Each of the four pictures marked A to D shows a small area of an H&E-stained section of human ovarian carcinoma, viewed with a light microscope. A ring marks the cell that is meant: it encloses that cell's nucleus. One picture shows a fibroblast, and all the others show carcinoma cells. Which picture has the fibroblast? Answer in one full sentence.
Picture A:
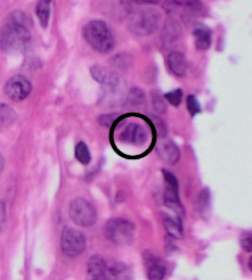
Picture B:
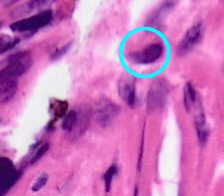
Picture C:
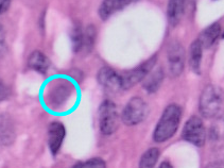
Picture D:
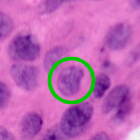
It is picture B that shows the fibroblast.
